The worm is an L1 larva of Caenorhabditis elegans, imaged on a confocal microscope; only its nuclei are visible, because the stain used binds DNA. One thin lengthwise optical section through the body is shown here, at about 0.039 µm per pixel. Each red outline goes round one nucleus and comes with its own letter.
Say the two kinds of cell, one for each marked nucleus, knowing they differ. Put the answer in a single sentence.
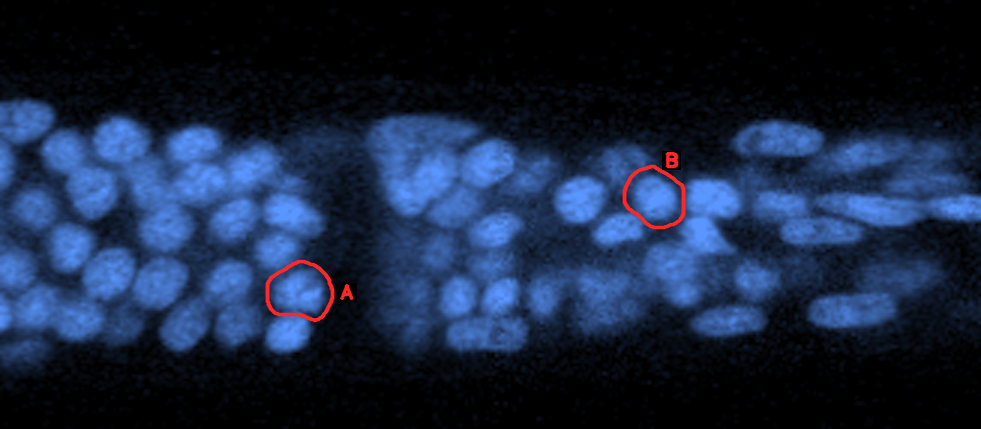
B belongs to a neuron, and A to a GLR cell.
